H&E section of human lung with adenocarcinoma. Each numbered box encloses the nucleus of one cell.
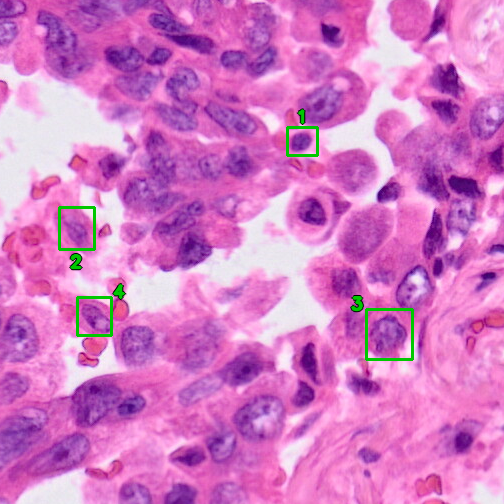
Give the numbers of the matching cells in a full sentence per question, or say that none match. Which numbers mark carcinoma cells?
Of all the numbered cells, only one is a carcinoma cell, and that is cell 3.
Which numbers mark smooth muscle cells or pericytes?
Across all the numbered cells, no smooth muscle cells or pericytes are present.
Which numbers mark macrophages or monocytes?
The cells numbered 2 and 4 are typed as macrophages or monocytes.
